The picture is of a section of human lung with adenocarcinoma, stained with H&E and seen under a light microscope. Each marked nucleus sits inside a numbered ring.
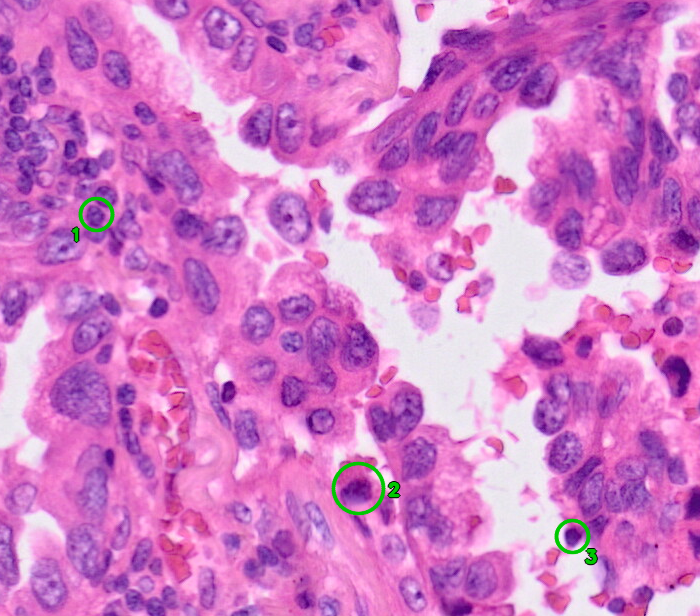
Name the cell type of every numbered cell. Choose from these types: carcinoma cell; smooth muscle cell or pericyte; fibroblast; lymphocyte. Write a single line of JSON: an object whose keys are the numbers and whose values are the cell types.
{"1": "lymphocyte", "2": "carcinoma cell", "3": "lymphocyte"}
